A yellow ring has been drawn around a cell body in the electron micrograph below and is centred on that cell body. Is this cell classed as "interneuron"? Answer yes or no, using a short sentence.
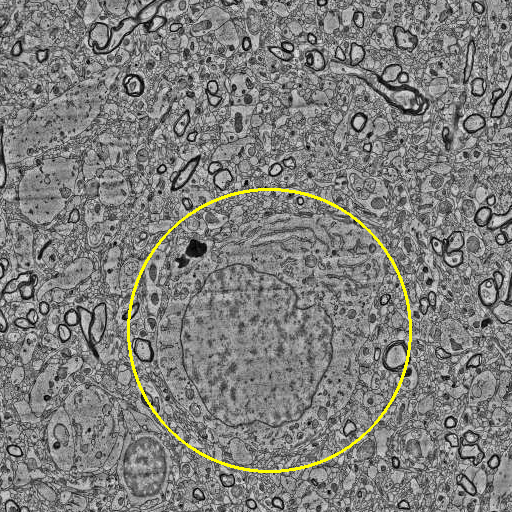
No, it is classed as another kind.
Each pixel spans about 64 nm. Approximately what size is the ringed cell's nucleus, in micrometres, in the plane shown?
The nucleus appears about 10 micrometres across in this plane.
